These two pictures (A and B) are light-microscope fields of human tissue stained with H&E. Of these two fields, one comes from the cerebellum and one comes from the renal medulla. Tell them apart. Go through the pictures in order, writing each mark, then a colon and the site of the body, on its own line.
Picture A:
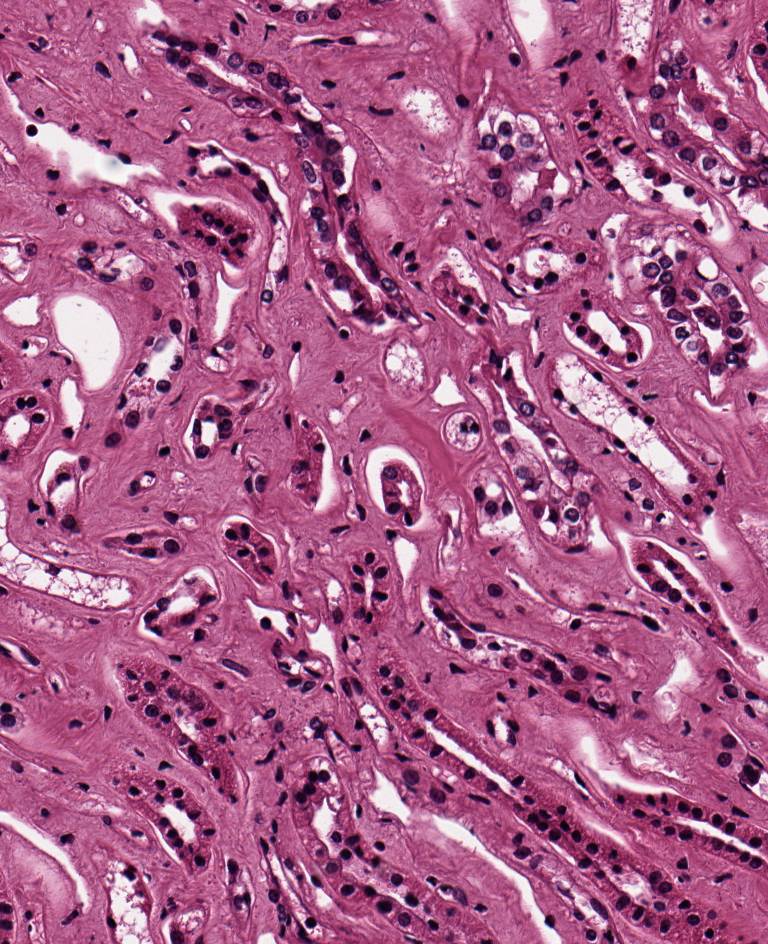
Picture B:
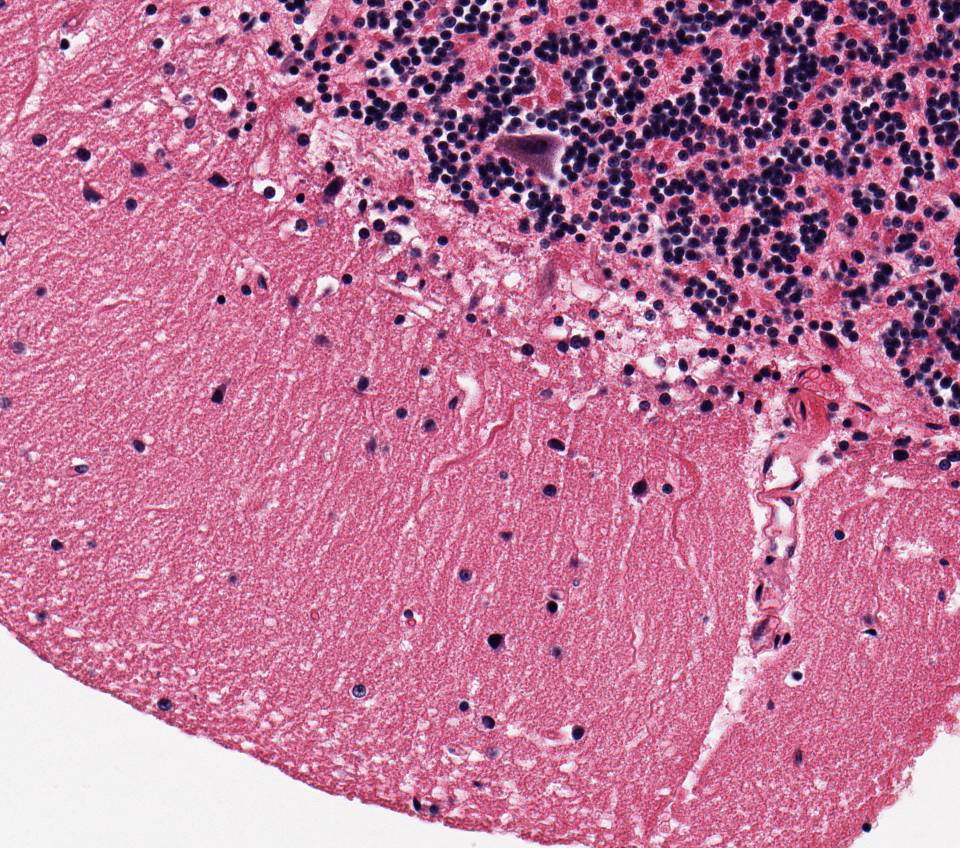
A: renal medulla
B: cerebellum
